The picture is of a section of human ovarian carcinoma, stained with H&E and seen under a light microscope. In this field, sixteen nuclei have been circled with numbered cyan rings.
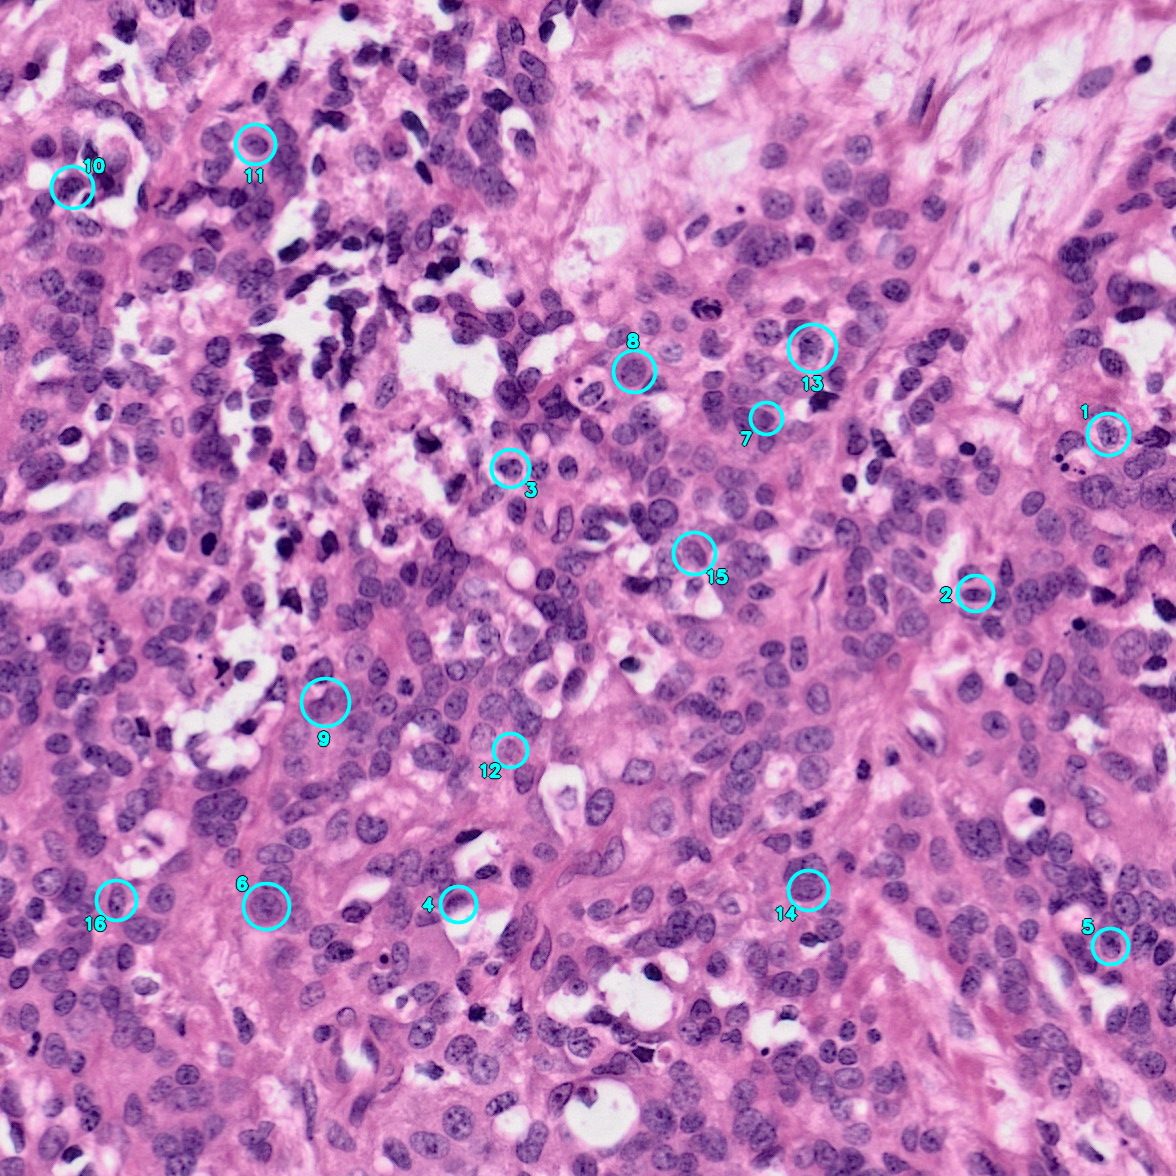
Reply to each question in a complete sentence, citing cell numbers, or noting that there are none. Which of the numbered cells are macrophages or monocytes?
Cells that were given the numbers 1, 2, 3, 5, 11, 13 and 16 are macrophages or monocytes.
